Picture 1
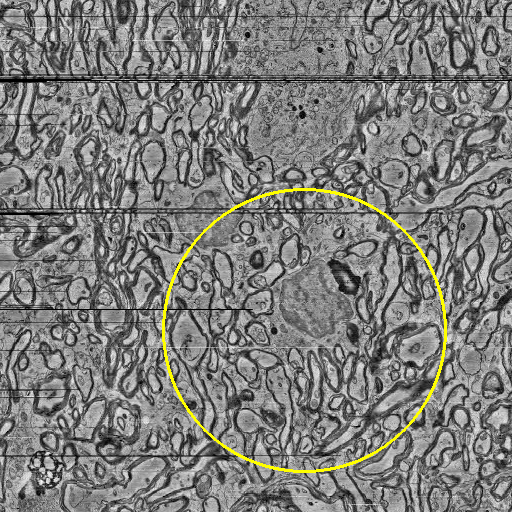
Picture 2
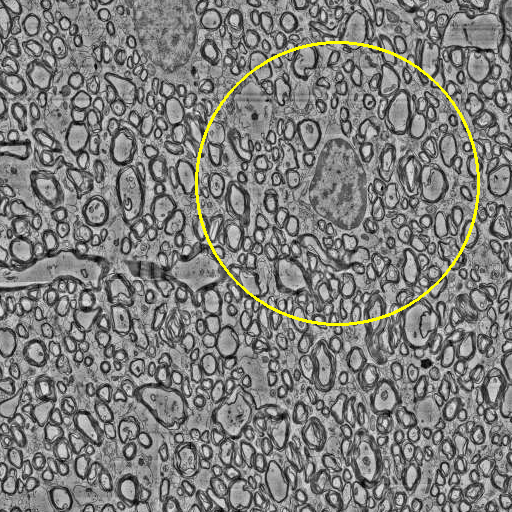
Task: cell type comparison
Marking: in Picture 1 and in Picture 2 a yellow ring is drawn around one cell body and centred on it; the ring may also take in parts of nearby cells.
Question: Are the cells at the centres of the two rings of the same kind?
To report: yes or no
no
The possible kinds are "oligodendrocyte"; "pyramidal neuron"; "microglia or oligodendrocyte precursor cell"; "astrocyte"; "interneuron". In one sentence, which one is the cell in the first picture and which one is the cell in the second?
The cell ringed in the second picture is a microglial cell or oligodendrocyte precursor cell, whereas the one ringed in the first is an oligodendrocyte.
